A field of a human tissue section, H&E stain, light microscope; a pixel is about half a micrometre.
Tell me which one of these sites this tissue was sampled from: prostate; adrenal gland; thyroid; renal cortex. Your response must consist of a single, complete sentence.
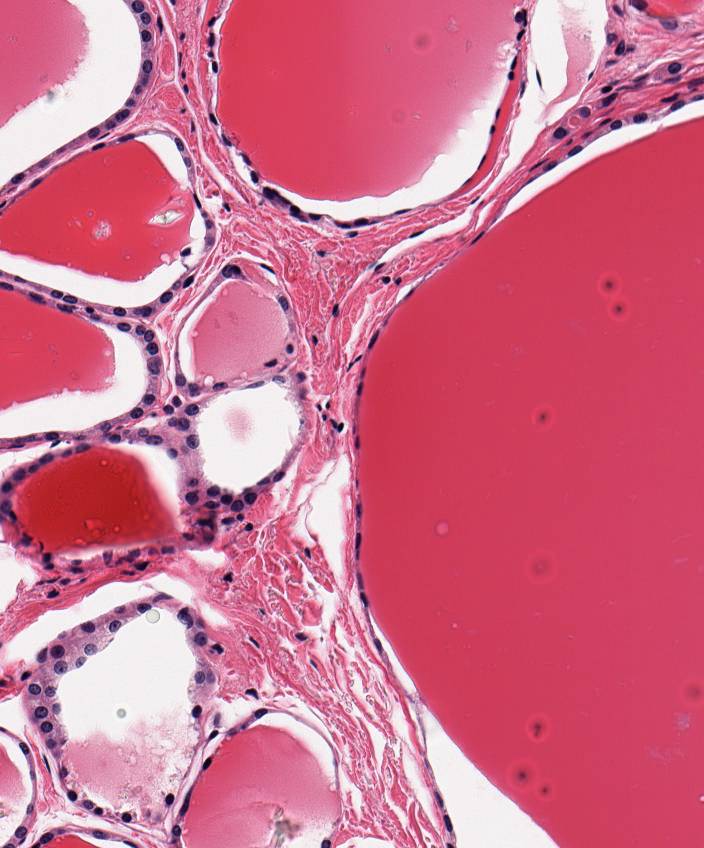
The tissue sample derives from the thyroid.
